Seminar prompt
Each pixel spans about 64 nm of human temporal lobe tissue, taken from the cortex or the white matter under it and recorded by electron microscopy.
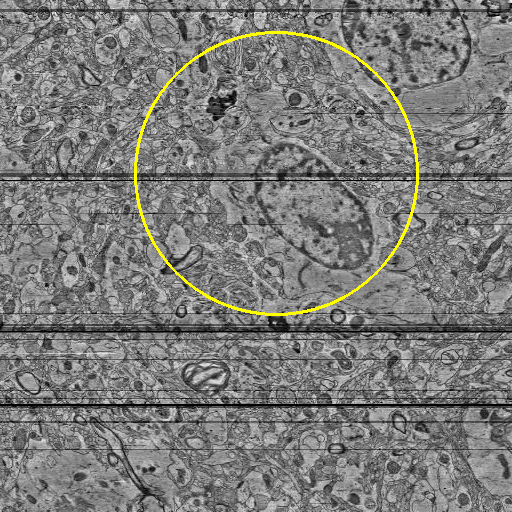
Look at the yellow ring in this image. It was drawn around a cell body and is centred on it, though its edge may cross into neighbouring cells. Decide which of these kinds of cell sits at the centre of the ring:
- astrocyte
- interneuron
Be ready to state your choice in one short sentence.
The kind of cell at the ring's centre is an astrocyte.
